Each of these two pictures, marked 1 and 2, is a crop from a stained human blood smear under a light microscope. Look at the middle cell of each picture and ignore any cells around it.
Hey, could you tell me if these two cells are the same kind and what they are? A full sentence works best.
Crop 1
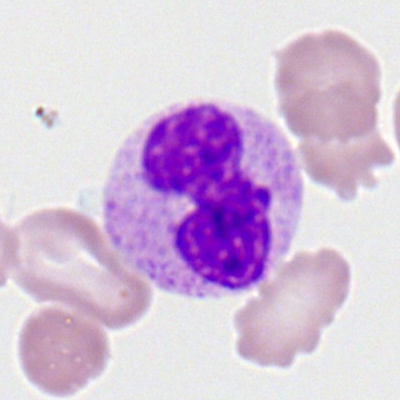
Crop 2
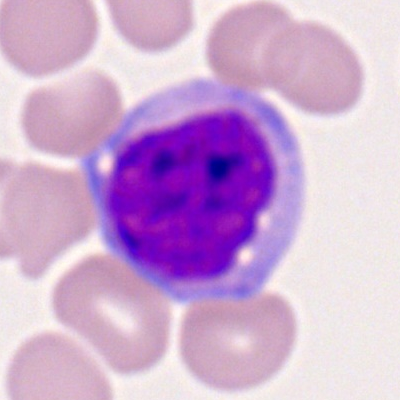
Yes, both crops do show monocytes in the middle.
